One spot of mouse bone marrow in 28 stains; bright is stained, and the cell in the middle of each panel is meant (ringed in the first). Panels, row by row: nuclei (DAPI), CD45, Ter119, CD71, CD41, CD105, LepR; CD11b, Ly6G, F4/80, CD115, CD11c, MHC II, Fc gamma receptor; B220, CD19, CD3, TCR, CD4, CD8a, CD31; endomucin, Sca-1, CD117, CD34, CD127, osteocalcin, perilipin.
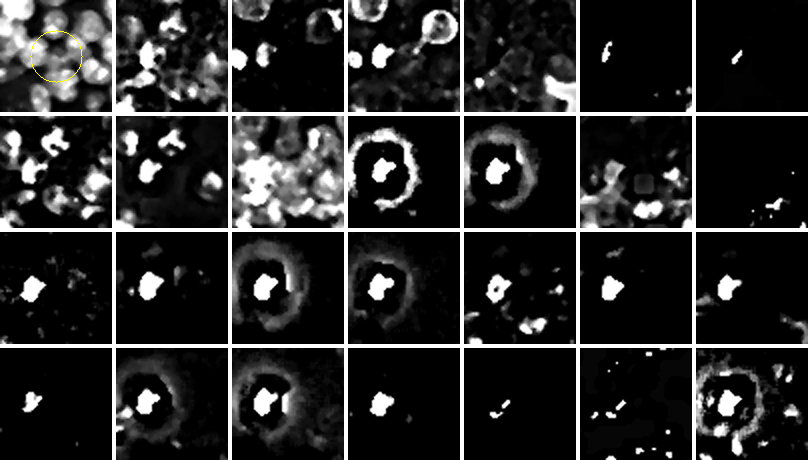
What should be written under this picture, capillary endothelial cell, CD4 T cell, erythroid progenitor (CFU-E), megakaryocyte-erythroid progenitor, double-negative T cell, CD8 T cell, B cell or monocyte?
erythroid progenitor (CFU-E)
